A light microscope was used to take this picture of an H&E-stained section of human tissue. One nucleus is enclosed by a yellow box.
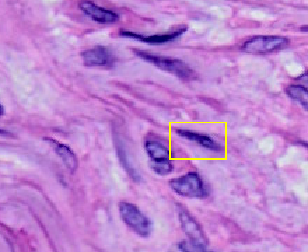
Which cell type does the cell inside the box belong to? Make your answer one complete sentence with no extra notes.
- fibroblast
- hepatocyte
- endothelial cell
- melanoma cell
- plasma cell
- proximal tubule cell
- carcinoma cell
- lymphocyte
Histopathologically, the cell inside the box is a fibroblast.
